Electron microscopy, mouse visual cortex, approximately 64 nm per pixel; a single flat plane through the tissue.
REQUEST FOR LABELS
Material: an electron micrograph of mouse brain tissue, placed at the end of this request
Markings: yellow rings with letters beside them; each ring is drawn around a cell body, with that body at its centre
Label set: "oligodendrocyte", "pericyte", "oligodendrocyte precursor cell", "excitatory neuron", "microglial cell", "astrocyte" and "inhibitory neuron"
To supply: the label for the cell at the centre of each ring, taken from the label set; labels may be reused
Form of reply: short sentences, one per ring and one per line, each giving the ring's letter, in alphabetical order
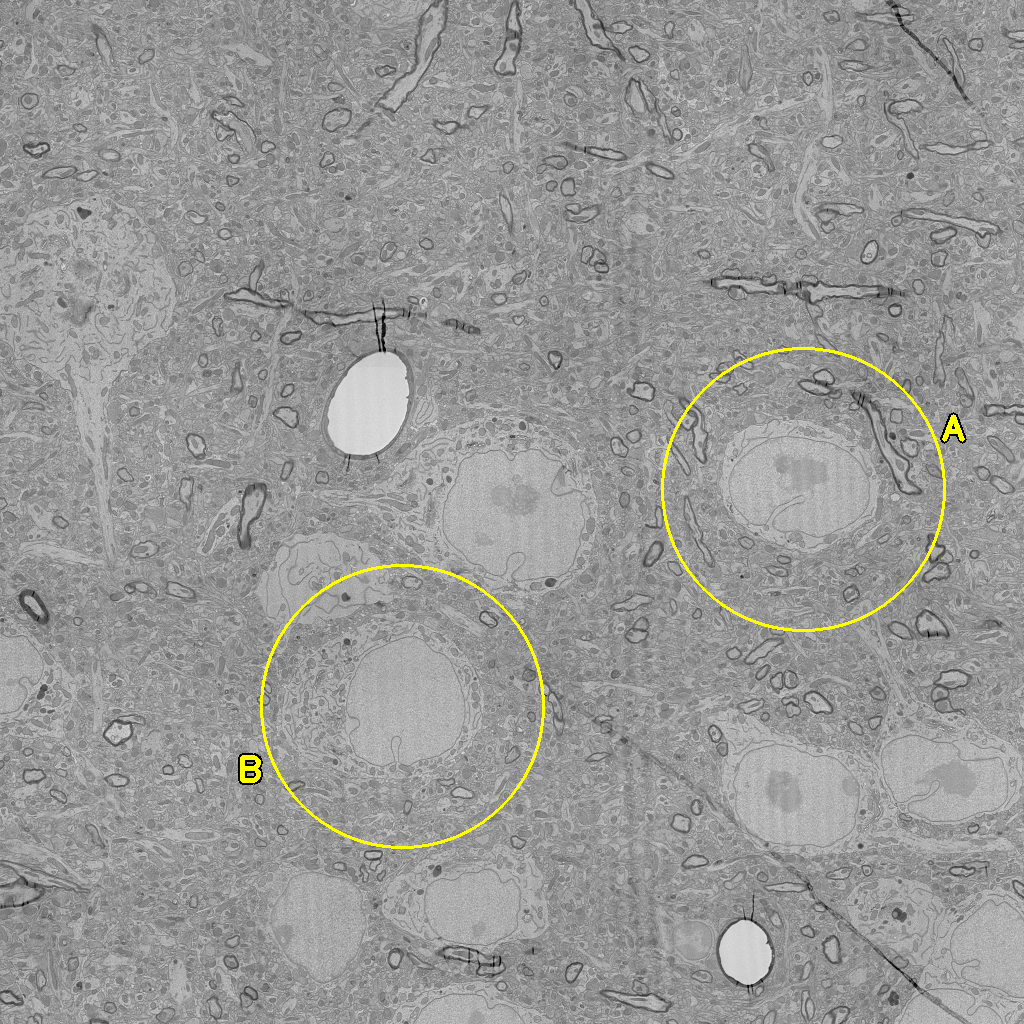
Ring A: the cell in the middle is an excitatory neuron.
Ring B: the cell in the middle is an inhibitory neuron.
